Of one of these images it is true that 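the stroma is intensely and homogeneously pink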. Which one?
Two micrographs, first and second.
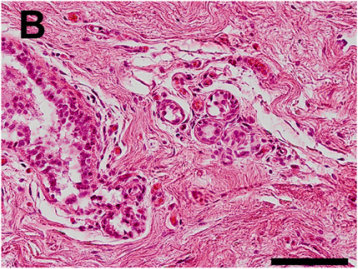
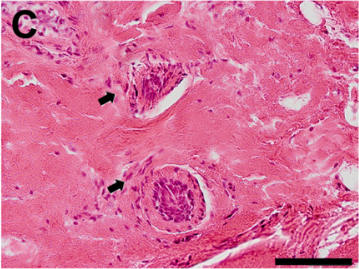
The second image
